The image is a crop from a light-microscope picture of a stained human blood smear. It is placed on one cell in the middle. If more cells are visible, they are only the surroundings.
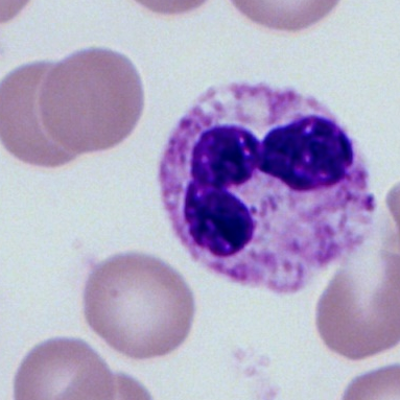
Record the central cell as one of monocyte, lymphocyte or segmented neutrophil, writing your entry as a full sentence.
The cell centered in this field of view is a segmented neutrophil.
